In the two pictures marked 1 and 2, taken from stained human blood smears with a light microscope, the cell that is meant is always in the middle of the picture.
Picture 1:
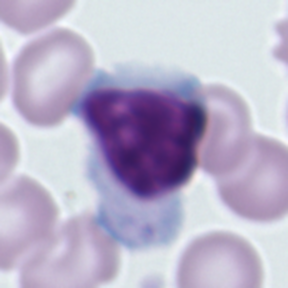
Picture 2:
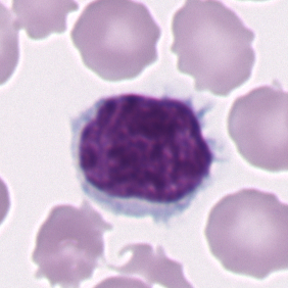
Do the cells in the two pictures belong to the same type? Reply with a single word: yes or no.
no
